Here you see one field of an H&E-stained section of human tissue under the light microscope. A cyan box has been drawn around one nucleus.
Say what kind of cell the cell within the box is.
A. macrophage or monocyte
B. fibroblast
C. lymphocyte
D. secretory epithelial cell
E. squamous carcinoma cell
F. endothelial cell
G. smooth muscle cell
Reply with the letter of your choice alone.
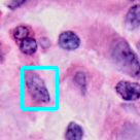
A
